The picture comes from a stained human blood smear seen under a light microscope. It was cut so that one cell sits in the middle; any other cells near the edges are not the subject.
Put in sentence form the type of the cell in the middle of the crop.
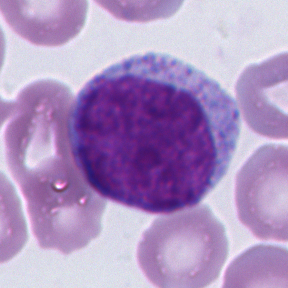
The cell positioned in the middle of the field is a promyelocyte.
